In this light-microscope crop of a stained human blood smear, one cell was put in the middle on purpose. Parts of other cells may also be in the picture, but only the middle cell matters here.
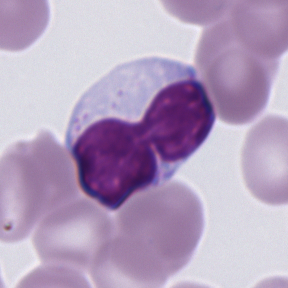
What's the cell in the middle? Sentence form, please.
The cell centred in this crop is categorized as a large granular lymphocyte.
